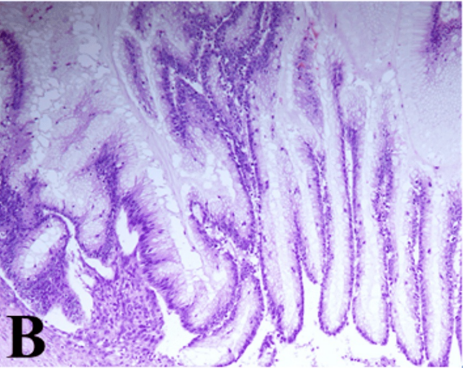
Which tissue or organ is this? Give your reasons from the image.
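High columnar epithelia. Tall cells line the fronds with nuclei at their bases. The cells have pale, clear apical cytoplasm.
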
